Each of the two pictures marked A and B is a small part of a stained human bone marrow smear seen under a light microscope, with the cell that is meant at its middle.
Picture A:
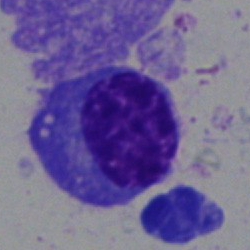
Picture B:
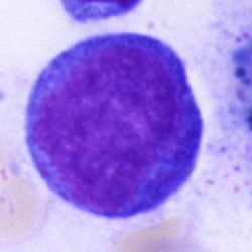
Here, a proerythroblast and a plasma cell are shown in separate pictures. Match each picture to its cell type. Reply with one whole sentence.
Picture B shows a proerythroblast, while picture A shows a plasma cell.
